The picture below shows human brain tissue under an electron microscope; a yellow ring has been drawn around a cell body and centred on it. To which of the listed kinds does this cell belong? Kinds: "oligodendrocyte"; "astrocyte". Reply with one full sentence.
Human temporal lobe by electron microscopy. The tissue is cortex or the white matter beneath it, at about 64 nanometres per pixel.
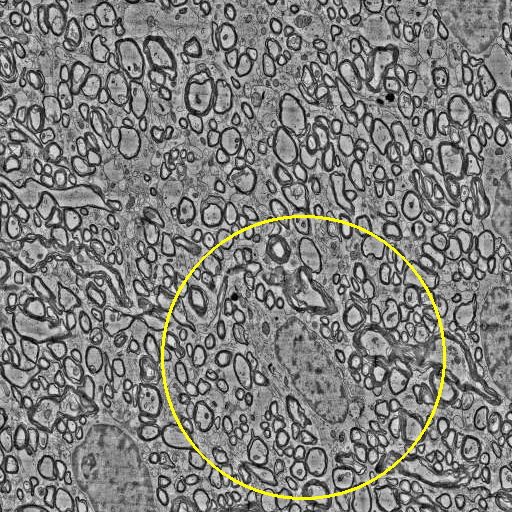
It is an astrocyte that the yellow ring in the picture is centred on.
